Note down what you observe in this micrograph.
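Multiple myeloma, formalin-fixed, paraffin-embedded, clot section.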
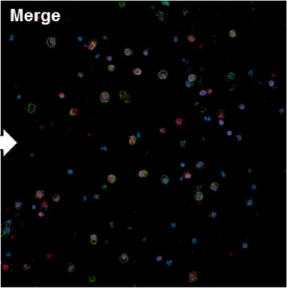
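Scattered rounded plasma cells of a bone marrow aspirate lie loosely spread across a dark background, each with a blue nucleus. Many cells carry a green ring at their edge, several show red signal within, and other cells show only a blue nucleus.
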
